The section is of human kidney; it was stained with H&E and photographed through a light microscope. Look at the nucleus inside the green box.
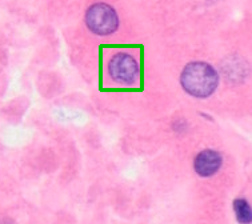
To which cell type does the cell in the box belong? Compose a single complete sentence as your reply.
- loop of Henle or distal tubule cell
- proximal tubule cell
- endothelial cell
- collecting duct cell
In this tissue sample, the cell in the box is a proximal tubule cell.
